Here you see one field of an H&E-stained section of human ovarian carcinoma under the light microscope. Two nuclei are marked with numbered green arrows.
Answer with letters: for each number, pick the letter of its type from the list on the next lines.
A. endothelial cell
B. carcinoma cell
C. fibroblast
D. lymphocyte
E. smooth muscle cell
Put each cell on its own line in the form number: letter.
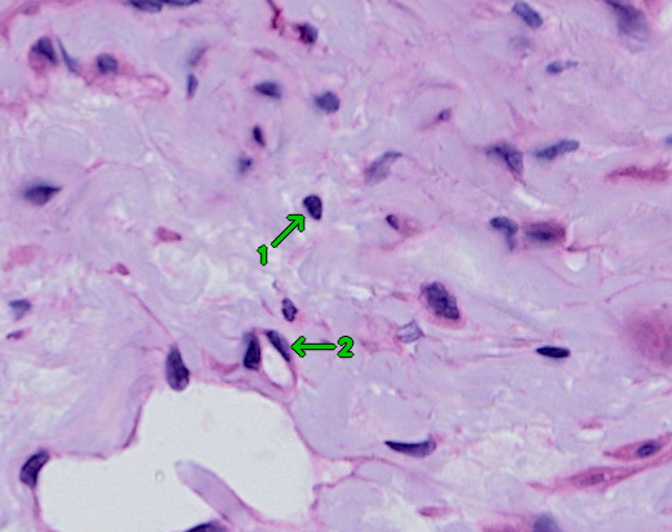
1: D
2: A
